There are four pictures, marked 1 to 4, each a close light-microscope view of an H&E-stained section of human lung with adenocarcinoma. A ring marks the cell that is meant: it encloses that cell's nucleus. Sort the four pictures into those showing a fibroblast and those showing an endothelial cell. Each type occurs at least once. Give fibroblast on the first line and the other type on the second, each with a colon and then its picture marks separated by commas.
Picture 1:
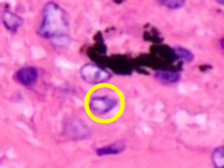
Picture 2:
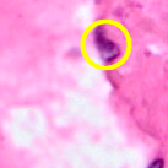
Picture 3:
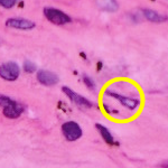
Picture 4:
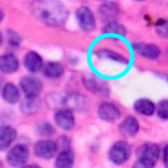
fibroblast: 1, 3
endothelial cell: 2, 4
